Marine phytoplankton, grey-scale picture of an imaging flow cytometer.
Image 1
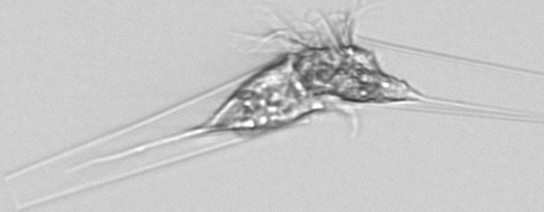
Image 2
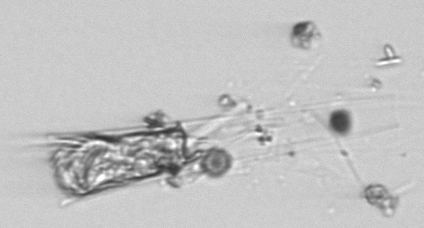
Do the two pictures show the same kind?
Yes, both are tintinnids.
